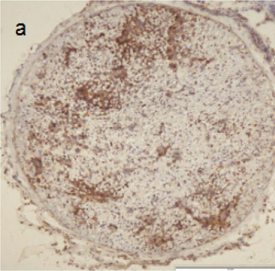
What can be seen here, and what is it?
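This is a round cross-section of a peripheral nerve, wrapped in a thin pale sheath, with the nerve fibres filling it as a fine pale mesh. Scattered through it are many brown-stained cells gathered into irregular dense clusters, some of them quite large. The density of these cells is far beyond what a healthy nerve would show.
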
